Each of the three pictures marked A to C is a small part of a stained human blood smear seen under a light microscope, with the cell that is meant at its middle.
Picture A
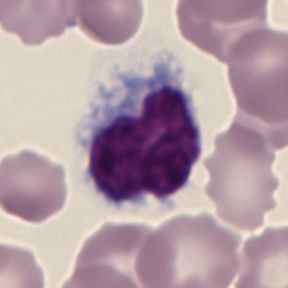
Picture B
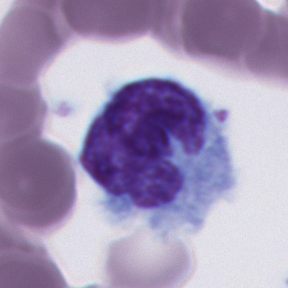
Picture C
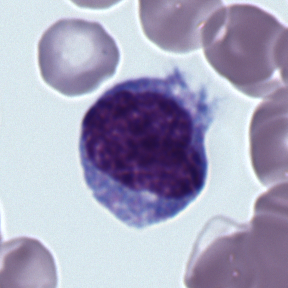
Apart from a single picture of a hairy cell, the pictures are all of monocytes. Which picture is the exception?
A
